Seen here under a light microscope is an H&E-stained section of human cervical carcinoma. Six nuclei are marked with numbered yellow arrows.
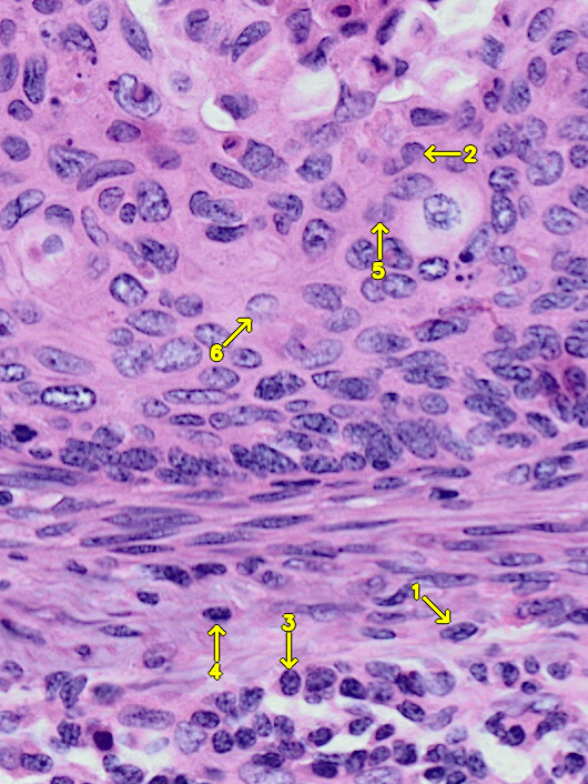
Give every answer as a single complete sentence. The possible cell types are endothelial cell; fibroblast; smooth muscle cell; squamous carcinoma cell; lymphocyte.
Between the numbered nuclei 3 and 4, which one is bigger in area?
The larger nucleus is 3, at roughly 1.5 times the area of 4.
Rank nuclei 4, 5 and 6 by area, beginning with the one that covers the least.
From smallest to largest, the order is 4, 5, 6.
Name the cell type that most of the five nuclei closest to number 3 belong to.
Lymphocytes account for more than half of the five nuclei nearest to number 3.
